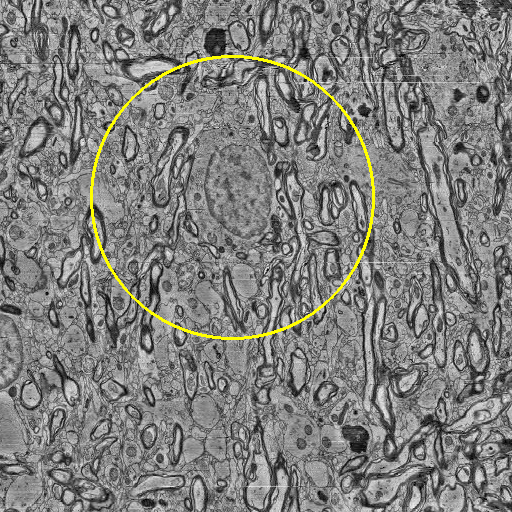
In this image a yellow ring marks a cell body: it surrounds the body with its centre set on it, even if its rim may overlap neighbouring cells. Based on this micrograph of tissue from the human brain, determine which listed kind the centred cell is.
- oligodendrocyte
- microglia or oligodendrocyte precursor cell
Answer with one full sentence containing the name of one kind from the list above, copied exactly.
It is an oligodendrocyte whose body the yellow ring encloses at its centre.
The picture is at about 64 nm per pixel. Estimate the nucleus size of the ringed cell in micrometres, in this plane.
In this plane the nucleus measures roughly 6 by 4 micrometres.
